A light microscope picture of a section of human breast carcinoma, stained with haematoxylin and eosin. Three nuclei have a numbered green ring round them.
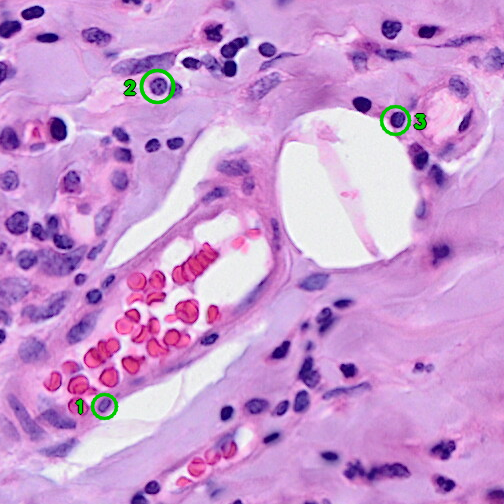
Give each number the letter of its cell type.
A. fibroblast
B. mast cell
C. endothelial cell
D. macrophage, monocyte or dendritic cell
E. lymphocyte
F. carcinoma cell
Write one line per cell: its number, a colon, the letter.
1: C
2: E
3: E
